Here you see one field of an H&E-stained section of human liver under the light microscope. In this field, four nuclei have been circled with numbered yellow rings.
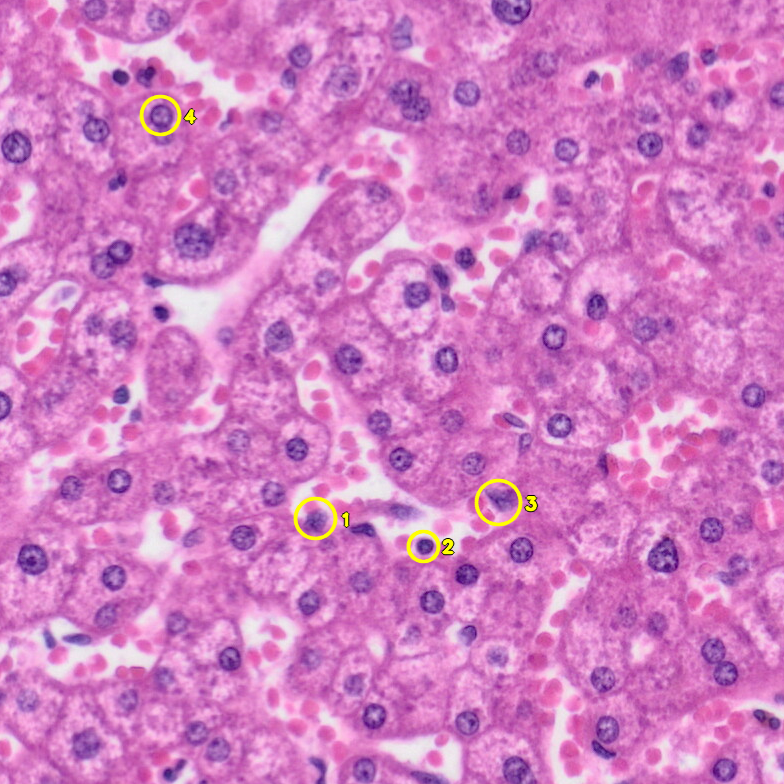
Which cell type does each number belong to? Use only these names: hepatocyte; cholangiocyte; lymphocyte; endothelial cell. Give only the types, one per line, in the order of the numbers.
endothelial cell
lymphocyte
endothelial cell
hepatocyte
